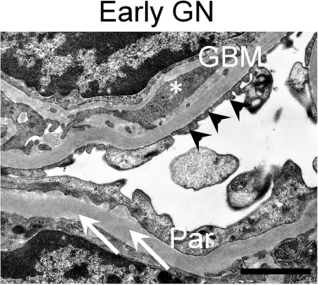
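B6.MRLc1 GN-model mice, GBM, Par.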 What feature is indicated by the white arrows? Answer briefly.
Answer: Bowman’s capsule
